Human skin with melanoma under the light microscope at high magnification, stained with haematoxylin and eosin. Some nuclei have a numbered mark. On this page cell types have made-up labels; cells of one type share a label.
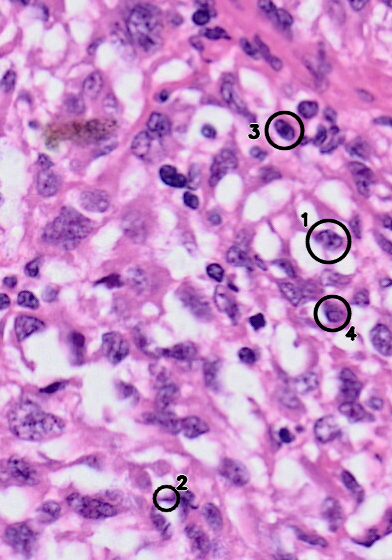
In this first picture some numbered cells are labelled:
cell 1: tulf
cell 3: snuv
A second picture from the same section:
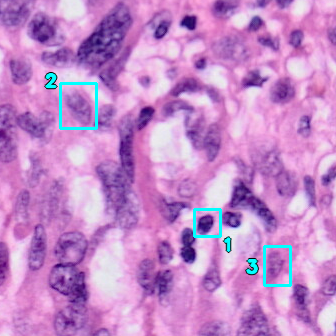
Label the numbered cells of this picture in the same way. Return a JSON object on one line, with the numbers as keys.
{"1": "snuv", "2": "tulf", "3": "tulf"}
